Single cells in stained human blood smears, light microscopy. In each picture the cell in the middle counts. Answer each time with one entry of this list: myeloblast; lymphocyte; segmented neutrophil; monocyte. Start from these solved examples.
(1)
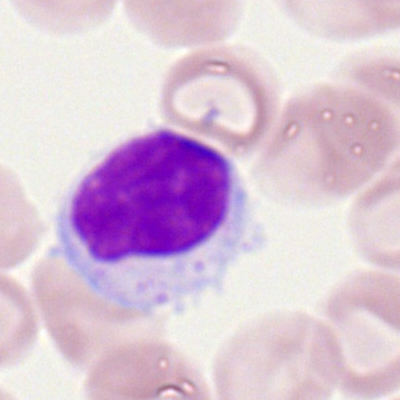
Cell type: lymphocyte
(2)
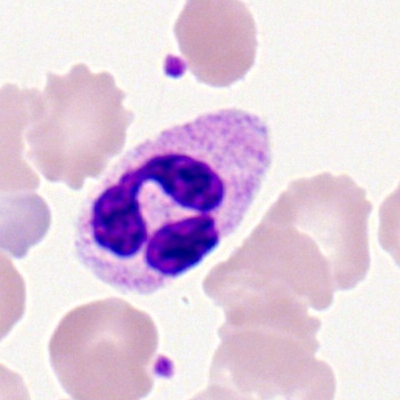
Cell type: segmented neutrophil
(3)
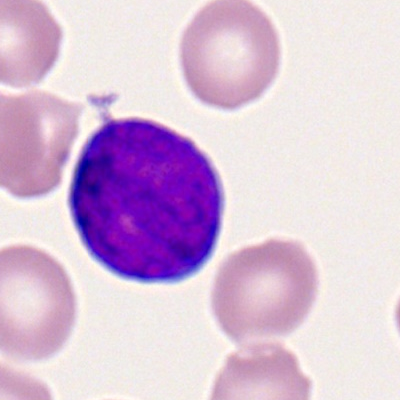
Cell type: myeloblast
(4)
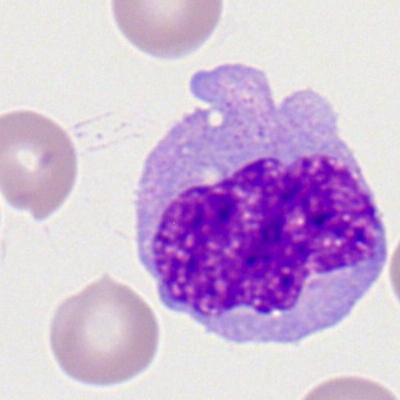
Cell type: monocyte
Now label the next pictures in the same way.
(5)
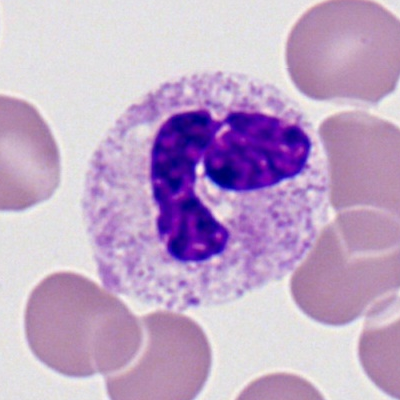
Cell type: segmented neutrophil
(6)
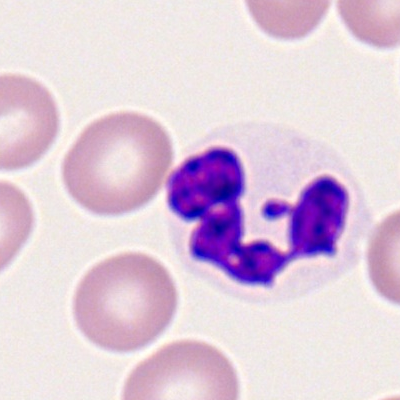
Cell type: segmented neutrophil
